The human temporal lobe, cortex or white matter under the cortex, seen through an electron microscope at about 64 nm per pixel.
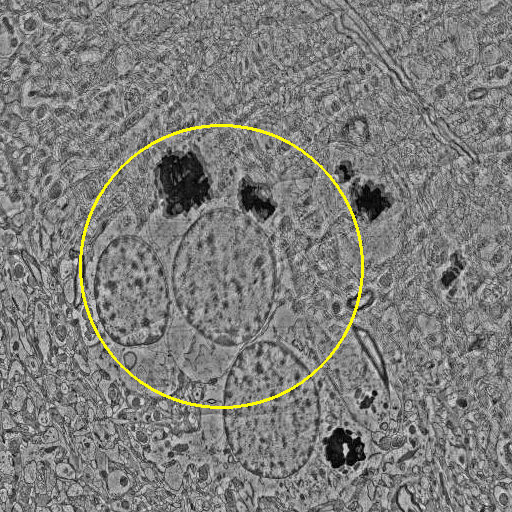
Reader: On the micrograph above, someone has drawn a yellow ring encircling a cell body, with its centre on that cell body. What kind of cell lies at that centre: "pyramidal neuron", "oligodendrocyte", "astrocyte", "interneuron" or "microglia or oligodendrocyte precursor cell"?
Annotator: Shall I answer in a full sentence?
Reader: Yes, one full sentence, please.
Here an astrocyte sits at the centre of the yellow ring drawn on the micrograph.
